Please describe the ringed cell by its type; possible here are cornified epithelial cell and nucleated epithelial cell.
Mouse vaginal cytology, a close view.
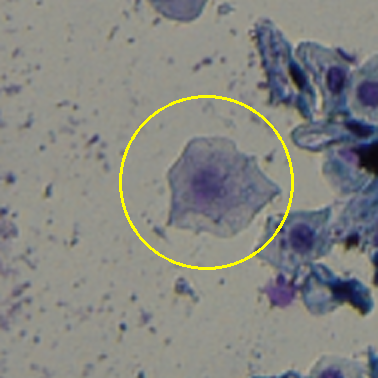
The yellow ring marks a nucleated epithelial cell.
